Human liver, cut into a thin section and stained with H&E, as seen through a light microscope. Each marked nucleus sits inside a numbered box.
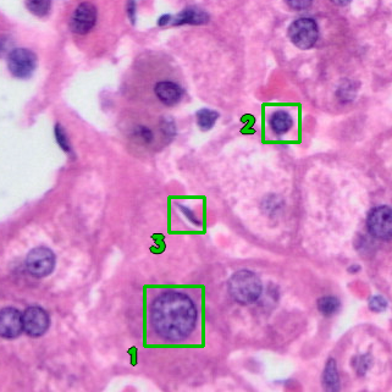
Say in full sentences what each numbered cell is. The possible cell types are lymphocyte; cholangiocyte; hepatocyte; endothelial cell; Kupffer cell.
Cell 1 is a hepatocyte, cell 2 is a lymphocyte and cell 3 is an endothelial cell.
